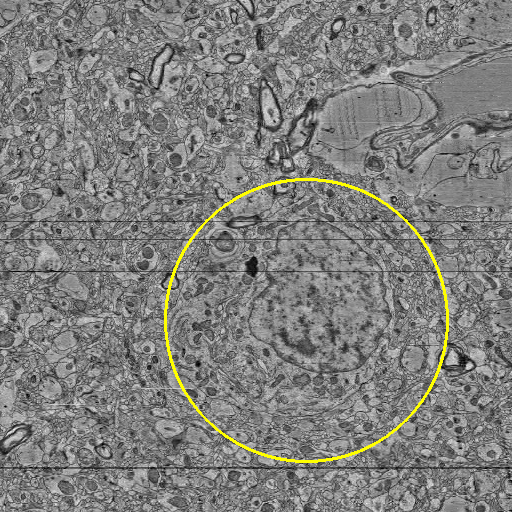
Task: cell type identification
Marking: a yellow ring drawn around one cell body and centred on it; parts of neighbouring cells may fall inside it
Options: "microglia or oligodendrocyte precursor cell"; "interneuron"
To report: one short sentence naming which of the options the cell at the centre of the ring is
The cell at the centre of the ring is an interneuron.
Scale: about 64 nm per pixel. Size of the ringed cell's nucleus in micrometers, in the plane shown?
The nucleus of the ringed cell is approximately 10 by 9 micrometres in this plane.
